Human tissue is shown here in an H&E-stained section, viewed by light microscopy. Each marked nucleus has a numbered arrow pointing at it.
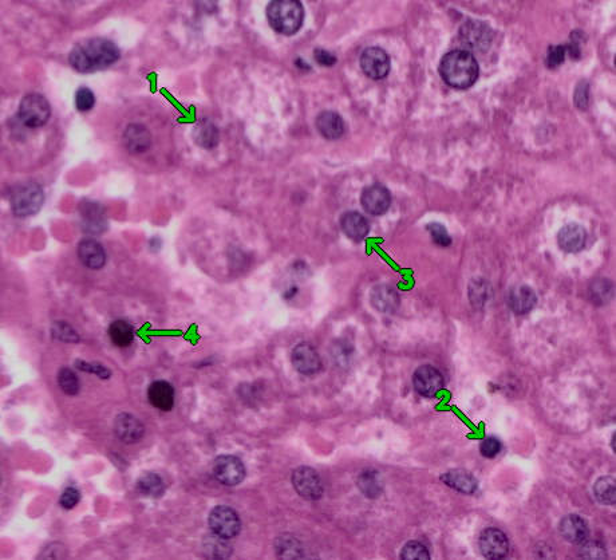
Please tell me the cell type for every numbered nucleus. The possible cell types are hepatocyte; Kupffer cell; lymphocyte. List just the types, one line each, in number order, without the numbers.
hepatocyte
lymphocyte
hepatocyte
hepatocyte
